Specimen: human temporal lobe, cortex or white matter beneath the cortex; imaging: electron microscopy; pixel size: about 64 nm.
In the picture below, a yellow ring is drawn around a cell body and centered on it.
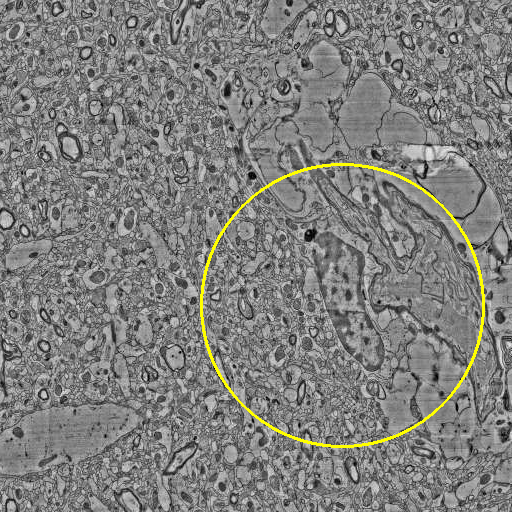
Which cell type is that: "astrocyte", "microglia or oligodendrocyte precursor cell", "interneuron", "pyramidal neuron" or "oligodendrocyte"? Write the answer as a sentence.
The cell centered in the ring is a microglial cell or oligodendrocyte precursor cell.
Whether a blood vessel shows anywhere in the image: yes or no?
Yes.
